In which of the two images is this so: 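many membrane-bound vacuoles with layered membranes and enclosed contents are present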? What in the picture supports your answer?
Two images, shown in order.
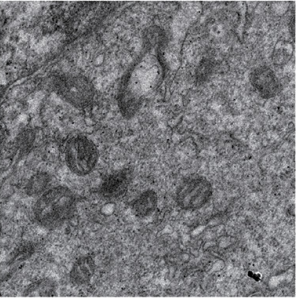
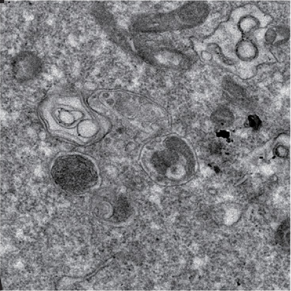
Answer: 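Second image: several vacuoles with concentric membranes enclosing vesicles and dense material. First image: mainly mitochondria with cristae and small vesicles, few or no such layered vacuoles.
Conclusion: the second image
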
